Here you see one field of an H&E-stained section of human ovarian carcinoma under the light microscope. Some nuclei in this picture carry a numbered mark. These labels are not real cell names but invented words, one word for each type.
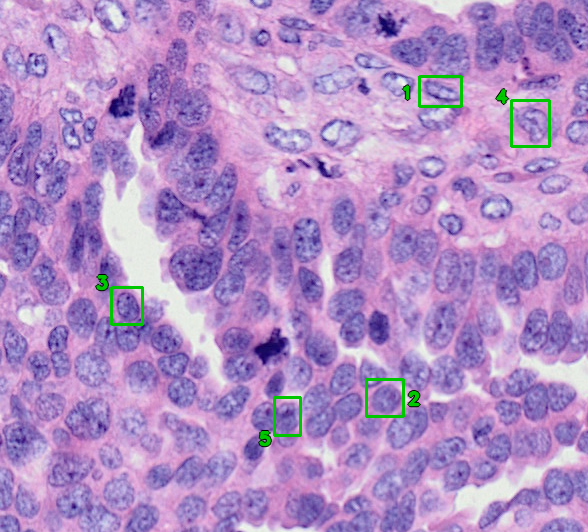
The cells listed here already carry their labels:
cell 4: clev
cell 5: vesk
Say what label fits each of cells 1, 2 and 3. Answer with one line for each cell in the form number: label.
1: clev
2: vesk
3: vesk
